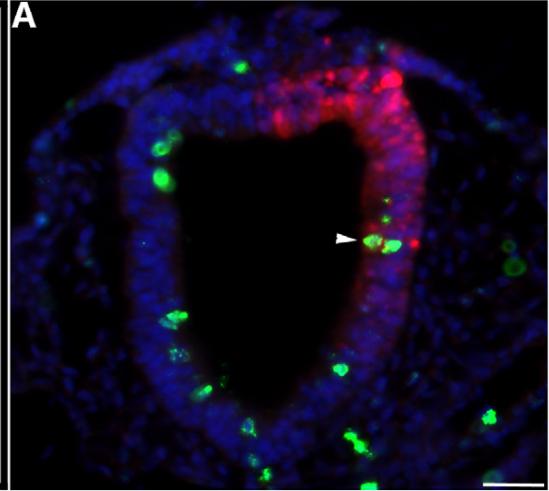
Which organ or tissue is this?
Neural tube.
